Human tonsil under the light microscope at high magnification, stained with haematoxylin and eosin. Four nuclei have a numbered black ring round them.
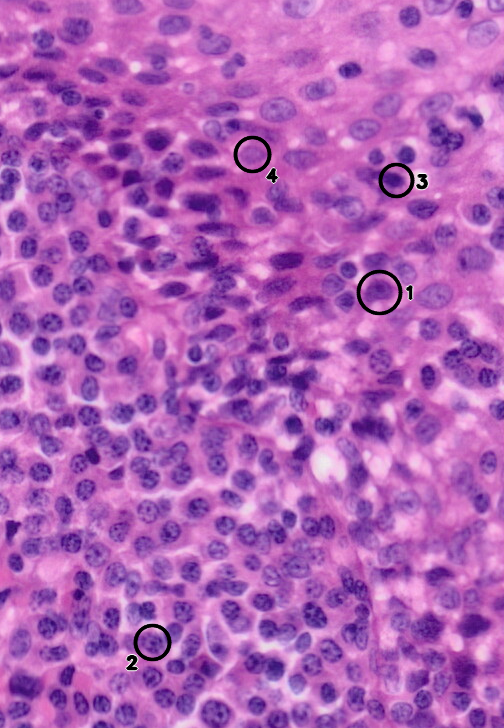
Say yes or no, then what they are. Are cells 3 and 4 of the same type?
Yes, just like cell 3, cell 4 is one of the squamous epithelial cells.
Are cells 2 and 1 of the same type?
No, cell 2 is a plasma cell; cell 1 is a squamous epithelial cell.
